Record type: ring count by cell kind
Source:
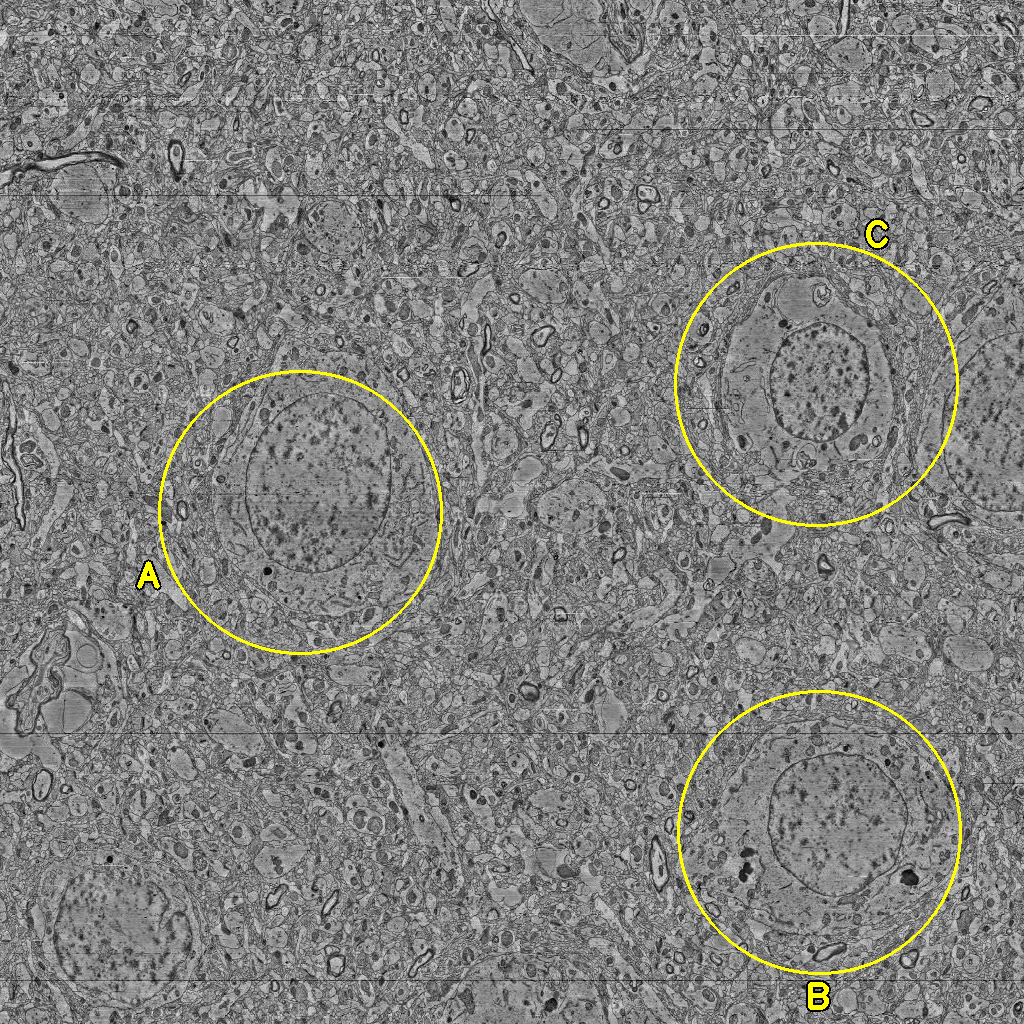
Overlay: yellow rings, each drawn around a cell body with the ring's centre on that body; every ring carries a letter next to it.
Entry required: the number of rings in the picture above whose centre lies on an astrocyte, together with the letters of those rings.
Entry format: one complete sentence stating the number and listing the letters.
Just one yellow ring in the micrograph centres on an astrocyte, and it is labelled C.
